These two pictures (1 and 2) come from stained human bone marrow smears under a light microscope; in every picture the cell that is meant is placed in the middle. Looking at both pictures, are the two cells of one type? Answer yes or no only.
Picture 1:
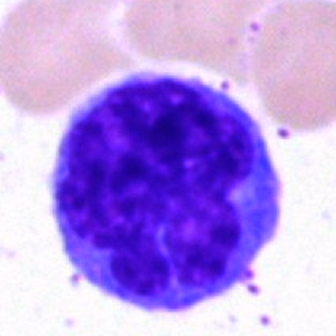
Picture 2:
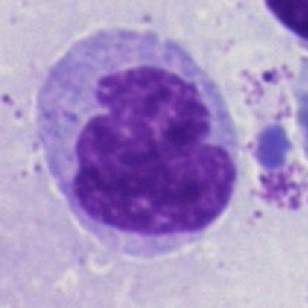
yes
